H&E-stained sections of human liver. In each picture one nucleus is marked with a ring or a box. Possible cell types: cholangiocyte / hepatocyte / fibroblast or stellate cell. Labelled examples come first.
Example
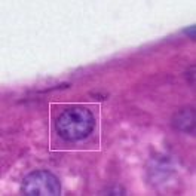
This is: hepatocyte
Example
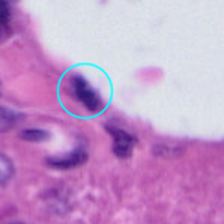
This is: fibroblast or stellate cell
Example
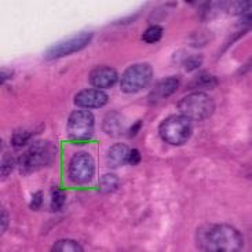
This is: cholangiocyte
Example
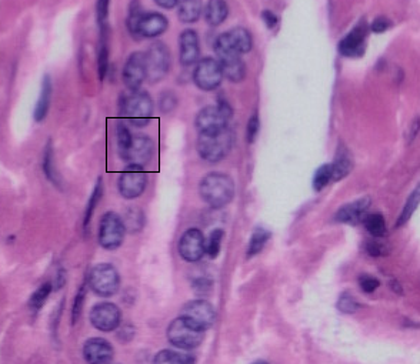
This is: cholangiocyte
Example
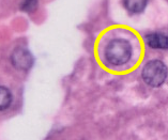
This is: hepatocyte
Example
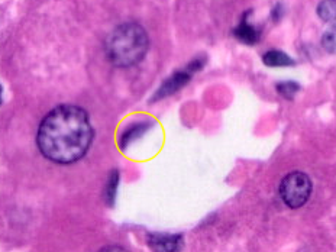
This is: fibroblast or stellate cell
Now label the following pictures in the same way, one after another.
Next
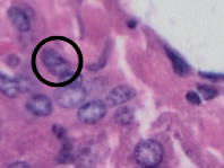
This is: cholangiocyte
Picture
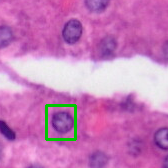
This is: hepatocyte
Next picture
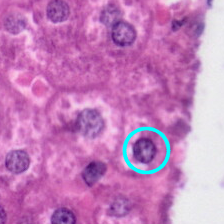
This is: hepatocyte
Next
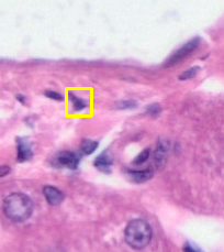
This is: fibroblast or stellate cell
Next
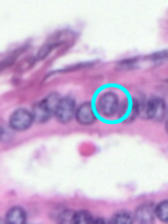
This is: cholangiocyte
